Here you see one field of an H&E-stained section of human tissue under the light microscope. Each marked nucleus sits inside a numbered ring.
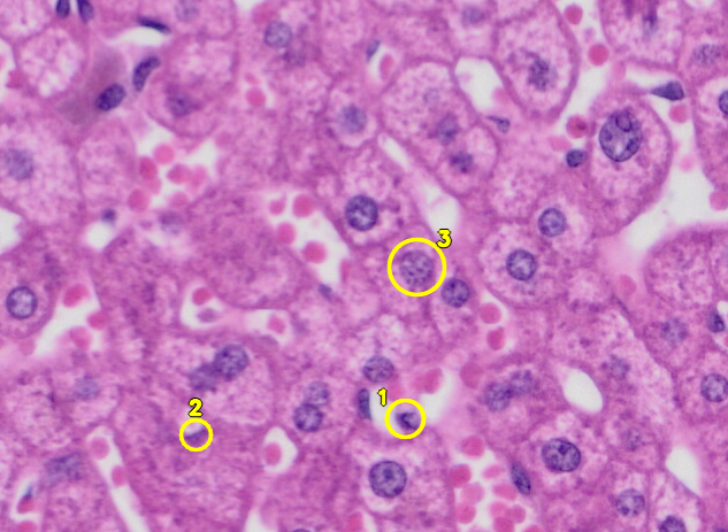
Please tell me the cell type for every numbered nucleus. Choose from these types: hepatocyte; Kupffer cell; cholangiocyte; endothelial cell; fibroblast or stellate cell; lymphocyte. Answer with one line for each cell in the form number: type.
1: Kupffer cell
2: endothelial cell
3: hepatocyte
